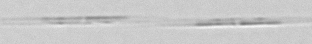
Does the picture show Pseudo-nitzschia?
Yes.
